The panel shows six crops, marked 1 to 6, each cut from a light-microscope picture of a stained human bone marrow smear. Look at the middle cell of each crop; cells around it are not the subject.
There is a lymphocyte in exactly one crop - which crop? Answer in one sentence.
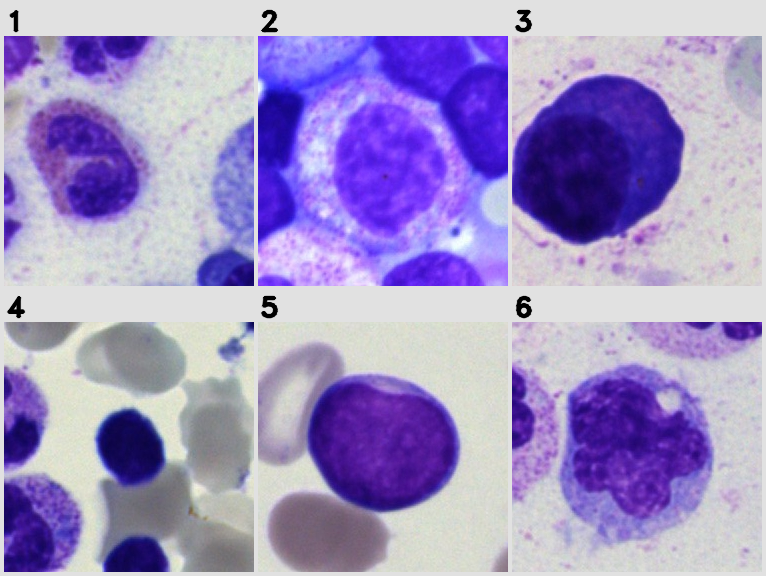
Crop 4 is the crop that displays a lymphocyte.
